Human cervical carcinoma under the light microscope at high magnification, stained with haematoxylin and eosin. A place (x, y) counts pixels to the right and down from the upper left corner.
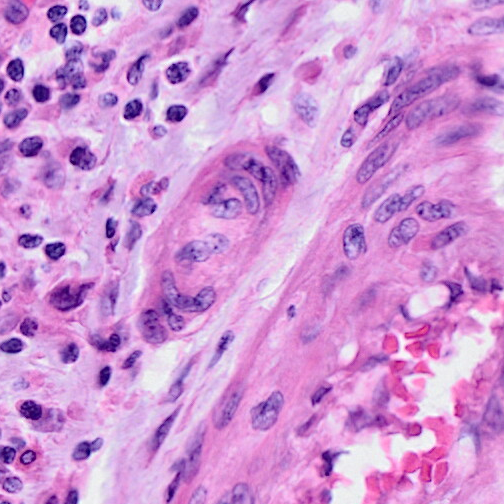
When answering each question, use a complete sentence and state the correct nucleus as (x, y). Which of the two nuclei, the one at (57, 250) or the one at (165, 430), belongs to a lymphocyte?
Here the nucleus at (57, 250) is the one that belongs to a lymphocyte.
